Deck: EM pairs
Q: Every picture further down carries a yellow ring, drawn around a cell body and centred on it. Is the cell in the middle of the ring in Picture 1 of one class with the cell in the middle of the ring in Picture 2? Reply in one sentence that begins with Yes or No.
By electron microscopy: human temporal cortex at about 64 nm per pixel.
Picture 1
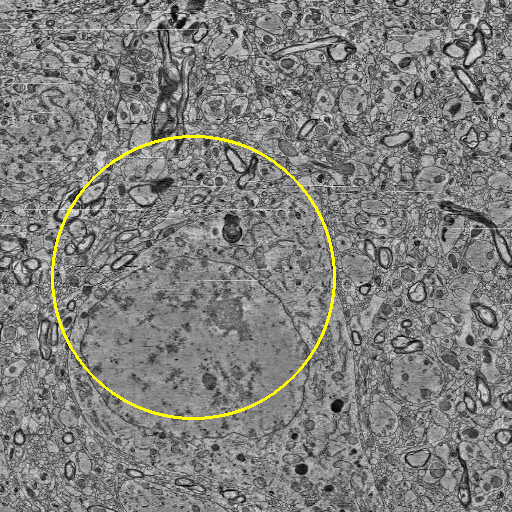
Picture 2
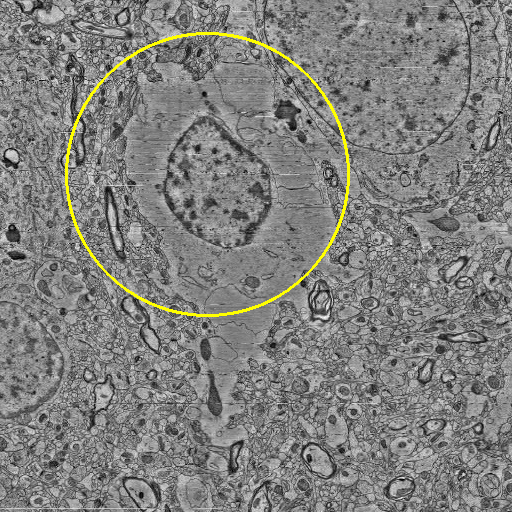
No, the cell centred in the ring of Picture 1 and the one in Picture 2 belong to separate classes.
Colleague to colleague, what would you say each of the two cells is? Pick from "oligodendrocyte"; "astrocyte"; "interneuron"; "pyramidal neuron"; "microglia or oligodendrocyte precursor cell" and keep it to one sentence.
The cell in the first picture is a pyramidal neuron; the second picture's cell is an astrocyte.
